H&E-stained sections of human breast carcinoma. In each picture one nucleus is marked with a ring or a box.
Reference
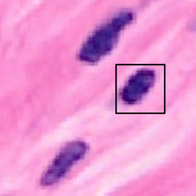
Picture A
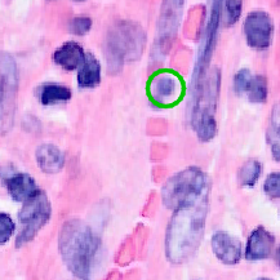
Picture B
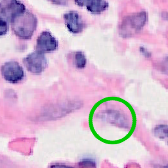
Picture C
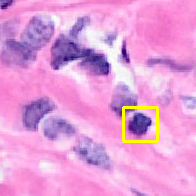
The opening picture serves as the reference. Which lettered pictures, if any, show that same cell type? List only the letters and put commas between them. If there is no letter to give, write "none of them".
C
